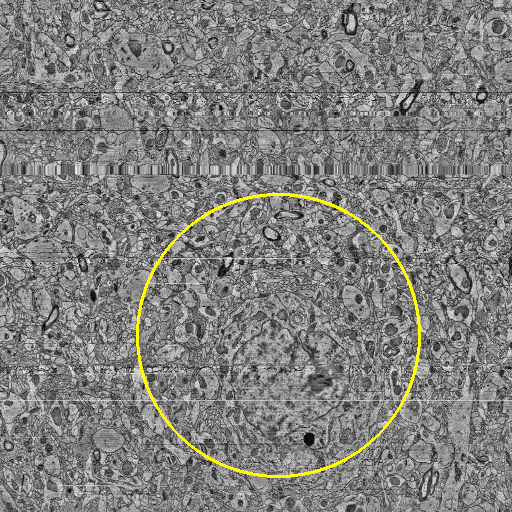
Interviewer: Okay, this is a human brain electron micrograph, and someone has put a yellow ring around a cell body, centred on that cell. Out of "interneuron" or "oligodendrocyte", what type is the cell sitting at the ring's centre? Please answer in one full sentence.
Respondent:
The cell at the centre of the yellow ring in this picture is an interneuron.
